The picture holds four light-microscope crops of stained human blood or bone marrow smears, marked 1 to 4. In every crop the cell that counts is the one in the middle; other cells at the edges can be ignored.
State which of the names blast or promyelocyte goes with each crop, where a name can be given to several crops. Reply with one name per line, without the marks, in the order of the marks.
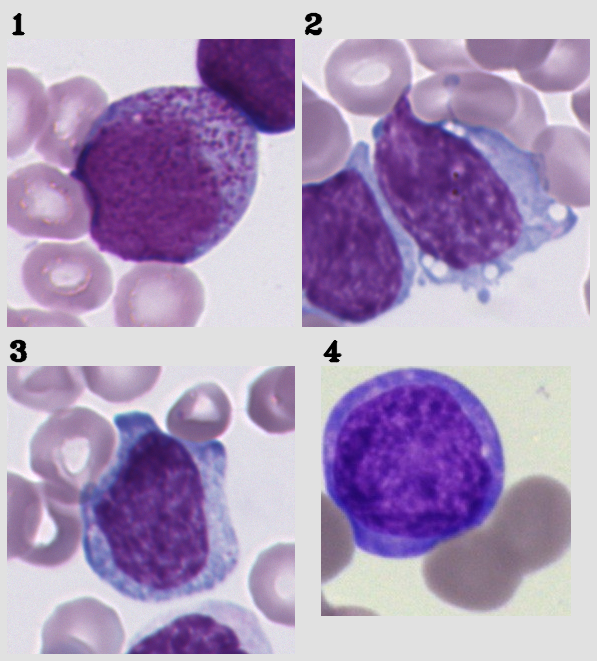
promyelocyte
blast
promyelocyte
blast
